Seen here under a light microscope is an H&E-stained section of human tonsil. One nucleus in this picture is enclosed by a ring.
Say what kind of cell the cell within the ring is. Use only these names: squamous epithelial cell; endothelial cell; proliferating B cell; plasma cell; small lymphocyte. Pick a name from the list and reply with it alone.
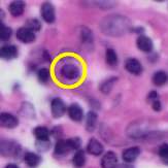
endothelial cell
